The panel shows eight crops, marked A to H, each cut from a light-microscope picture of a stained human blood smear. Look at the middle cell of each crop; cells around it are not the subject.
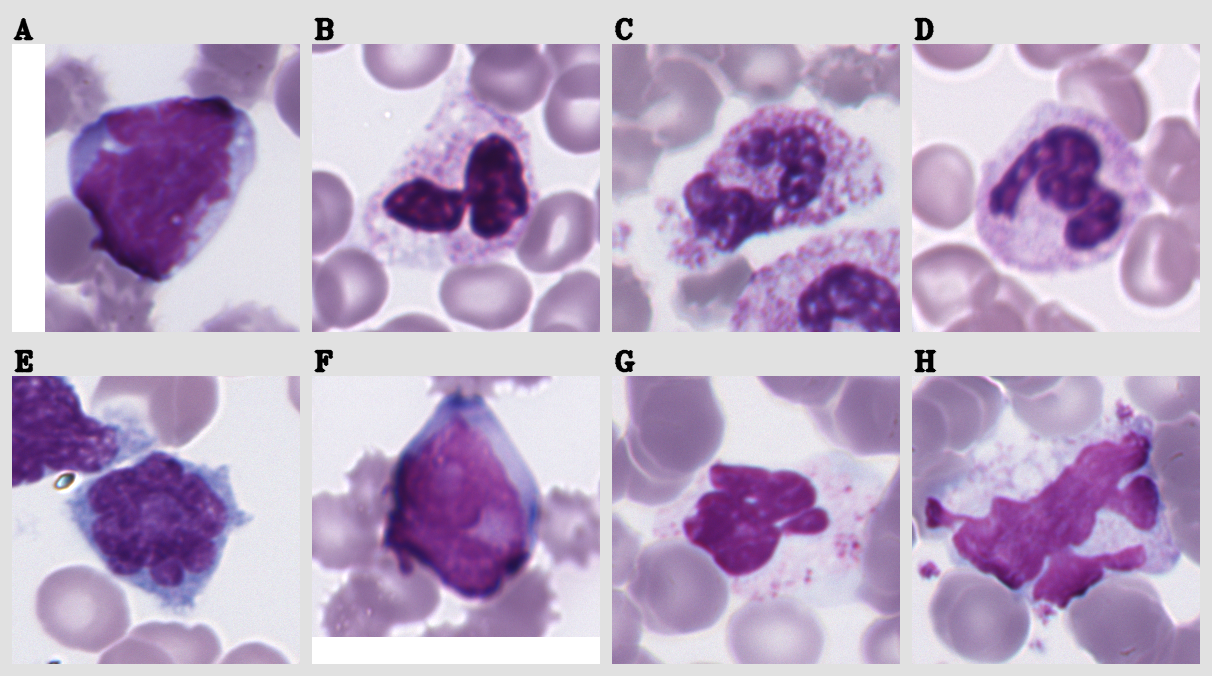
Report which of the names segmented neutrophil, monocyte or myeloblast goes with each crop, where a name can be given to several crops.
A: myeloblast
B: segmented neutrophil
C: segmented neutrophil
D: segmented neutrophil
E: monocyte
F: myeloblast
G: segmented neutrophil
H: monocyte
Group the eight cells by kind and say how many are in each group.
segmented neutrophil: 4
myeloblast: 2
monocyte: 2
